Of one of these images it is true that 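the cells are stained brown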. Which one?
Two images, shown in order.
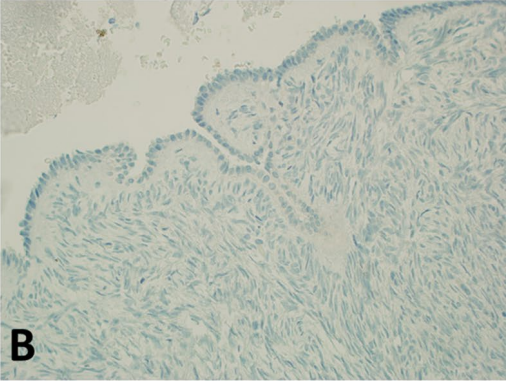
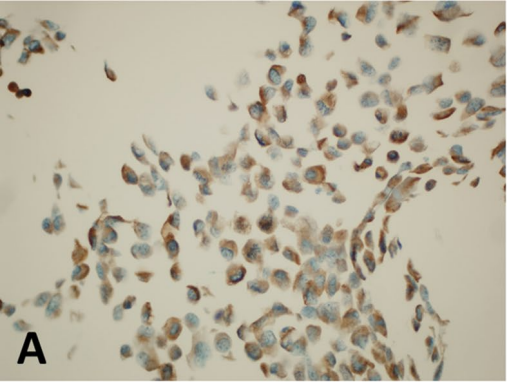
the second image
